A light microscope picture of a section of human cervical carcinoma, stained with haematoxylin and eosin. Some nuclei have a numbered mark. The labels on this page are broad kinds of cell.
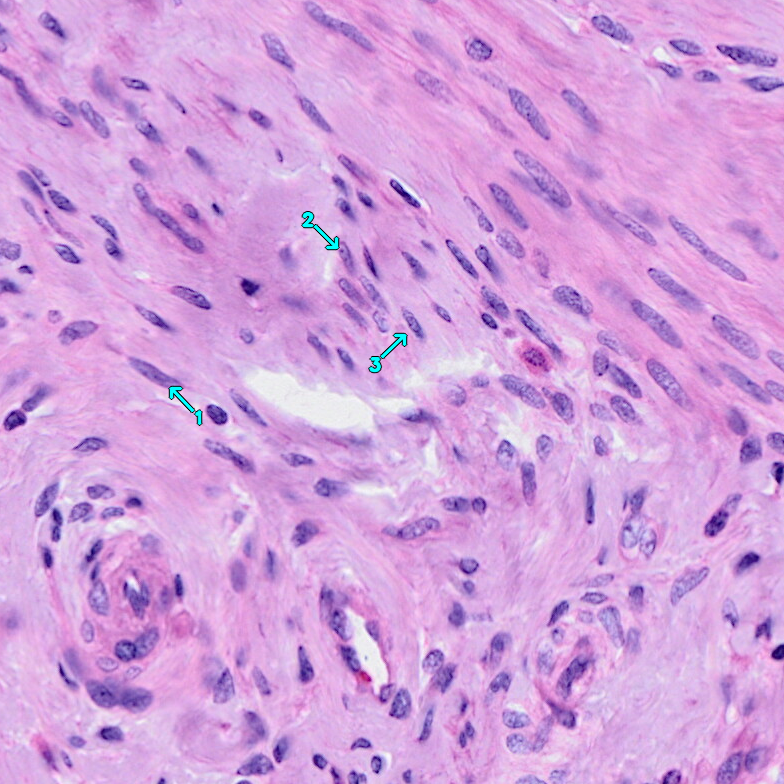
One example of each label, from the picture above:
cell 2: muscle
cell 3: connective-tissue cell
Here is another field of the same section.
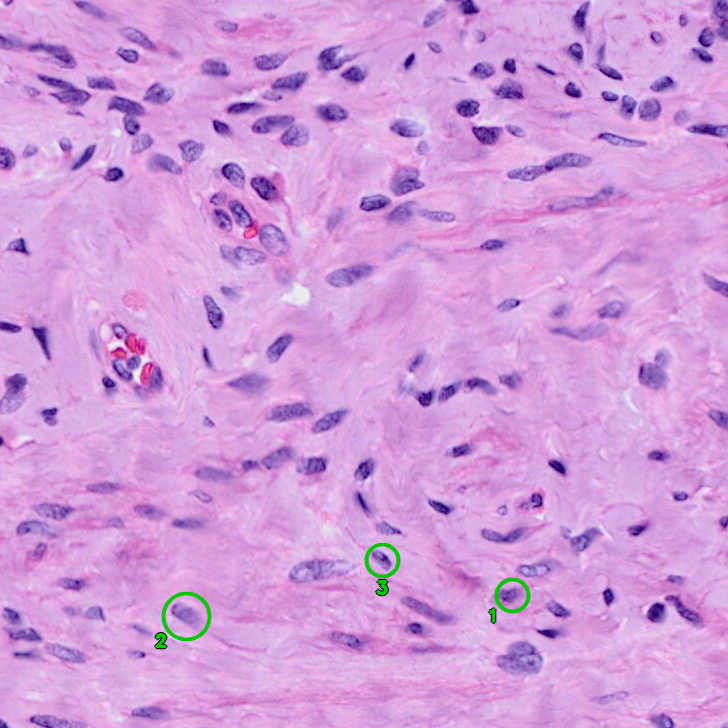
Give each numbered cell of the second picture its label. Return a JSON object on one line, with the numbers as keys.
{"1": "muscle", "2": "connective-tissue cell", "3": "connective-tissue cell"}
